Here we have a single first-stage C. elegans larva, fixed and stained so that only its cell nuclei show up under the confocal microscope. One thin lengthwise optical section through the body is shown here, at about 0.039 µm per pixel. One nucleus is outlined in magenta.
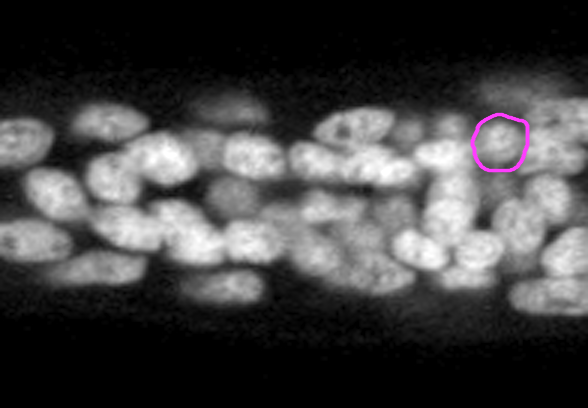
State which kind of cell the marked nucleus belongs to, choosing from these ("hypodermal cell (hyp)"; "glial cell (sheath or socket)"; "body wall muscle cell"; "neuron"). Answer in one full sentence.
The cell with the marked nucleus is a neuron.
